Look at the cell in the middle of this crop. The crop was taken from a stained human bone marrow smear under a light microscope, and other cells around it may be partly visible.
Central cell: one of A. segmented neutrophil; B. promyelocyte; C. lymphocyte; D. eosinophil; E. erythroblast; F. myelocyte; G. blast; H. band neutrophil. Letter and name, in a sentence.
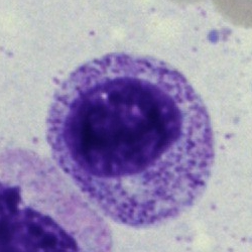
Option F correctly names the cell in the middle as a myelocyte.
